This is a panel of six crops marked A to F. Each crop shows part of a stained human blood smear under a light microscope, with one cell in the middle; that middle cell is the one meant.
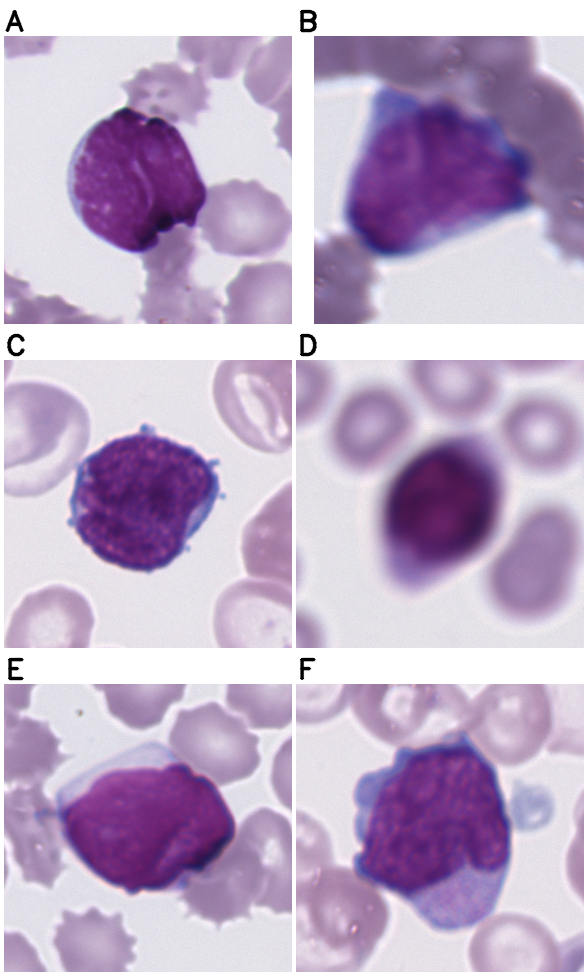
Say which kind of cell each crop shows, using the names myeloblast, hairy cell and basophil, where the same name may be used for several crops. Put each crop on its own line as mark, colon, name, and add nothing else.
A: myeloblast
B: myeloblast
C: myeloblast
D: myeloblast
E: myeloblast
F: myeloblast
